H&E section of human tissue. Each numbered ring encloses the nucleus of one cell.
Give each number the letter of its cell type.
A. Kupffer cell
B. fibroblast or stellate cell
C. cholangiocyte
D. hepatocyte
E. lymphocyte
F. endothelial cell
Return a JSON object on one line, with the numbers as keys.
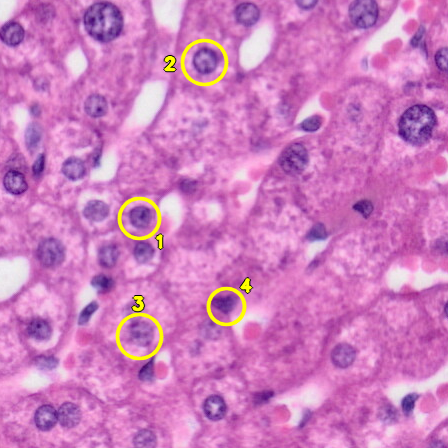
{"1": "D", "2": "D", "3": "D", "4": "B"}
